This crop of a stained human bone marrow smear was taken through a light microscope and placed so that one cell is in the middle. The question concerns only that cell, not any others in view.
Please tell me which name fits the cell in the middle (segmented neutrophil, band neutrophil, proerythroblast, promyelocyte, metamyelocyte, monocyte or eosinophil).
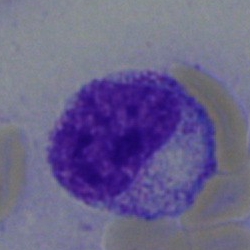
metamyelocyte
